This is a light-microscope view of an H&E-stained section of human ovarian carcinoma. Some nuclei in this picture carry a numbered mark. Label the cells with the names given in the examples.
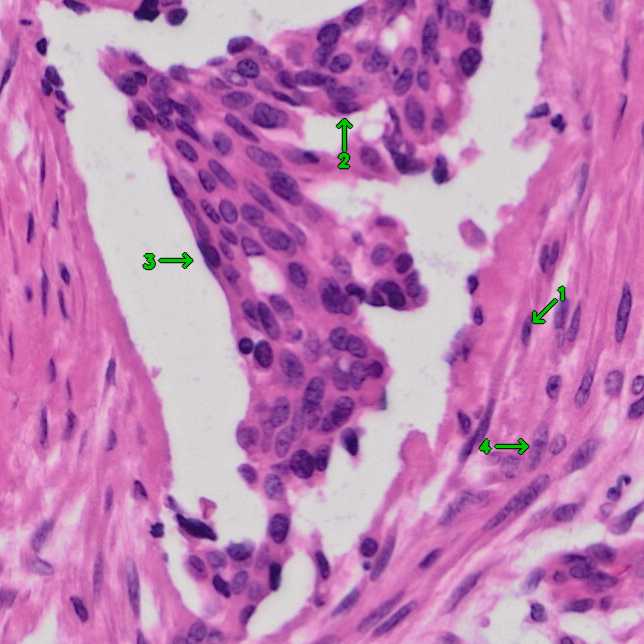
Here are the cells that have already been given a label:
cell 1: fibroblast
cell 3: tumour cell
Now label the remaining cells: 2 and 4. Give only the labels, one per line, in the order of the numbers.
tumour cell
fibroblast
